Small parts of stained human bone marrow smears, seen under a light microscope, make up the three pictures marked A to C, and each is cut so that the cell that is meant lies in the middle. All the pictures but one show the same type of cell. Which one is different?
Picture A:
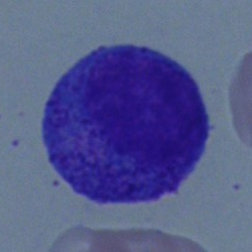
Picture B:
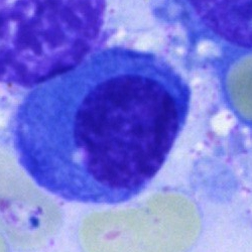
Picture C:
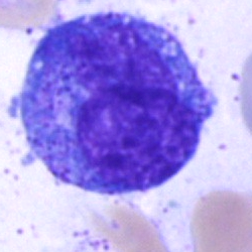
B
